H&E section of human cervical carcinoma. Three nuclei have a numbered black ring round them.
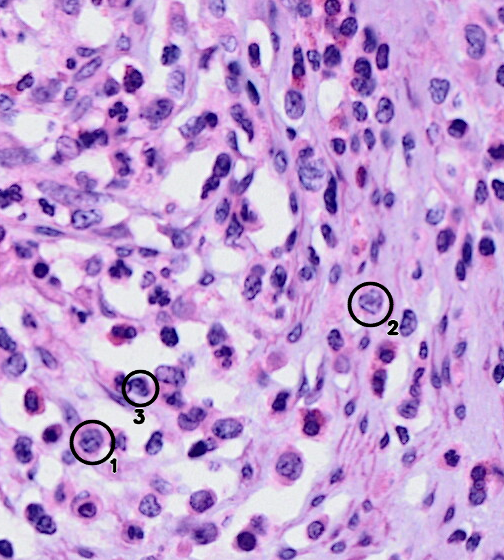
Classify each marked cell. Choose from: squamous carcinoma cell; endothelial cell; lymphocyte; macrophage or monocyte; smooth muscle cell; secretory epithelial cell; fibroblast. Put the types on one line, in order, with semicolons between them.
macrophage or monocyte; macrophage or monocyte; lymphocyte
